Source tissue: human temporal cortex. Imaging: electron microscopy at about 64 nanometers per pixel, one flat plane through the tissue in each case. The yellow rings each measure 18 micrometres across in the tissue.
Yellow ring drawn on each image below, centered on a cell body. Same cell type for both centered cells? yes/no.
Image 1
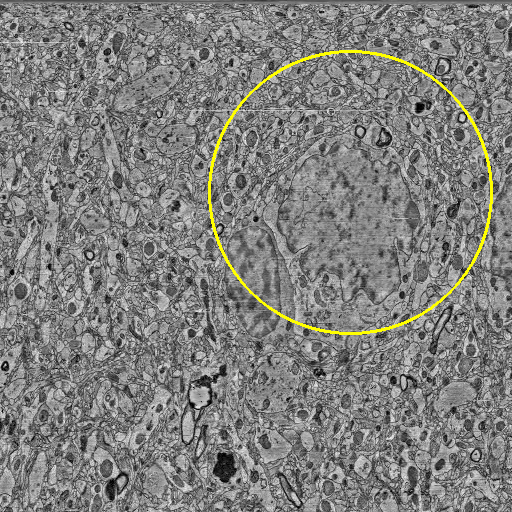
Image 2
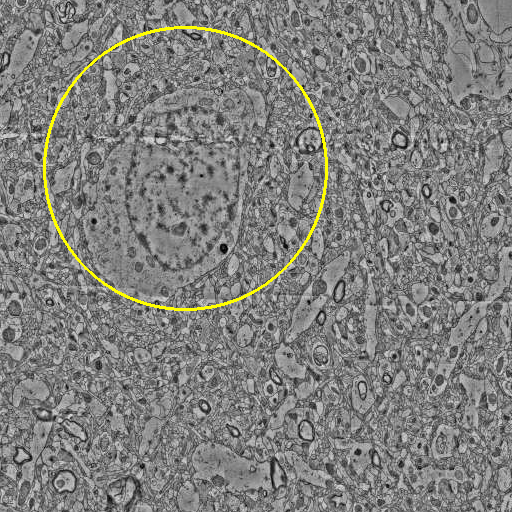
yes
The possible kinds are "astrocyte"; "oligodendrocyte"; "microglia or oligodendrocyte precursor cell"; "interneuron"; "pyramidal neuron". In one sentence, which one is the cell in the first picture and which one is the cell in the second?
Each of the two cells is an interneuron.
